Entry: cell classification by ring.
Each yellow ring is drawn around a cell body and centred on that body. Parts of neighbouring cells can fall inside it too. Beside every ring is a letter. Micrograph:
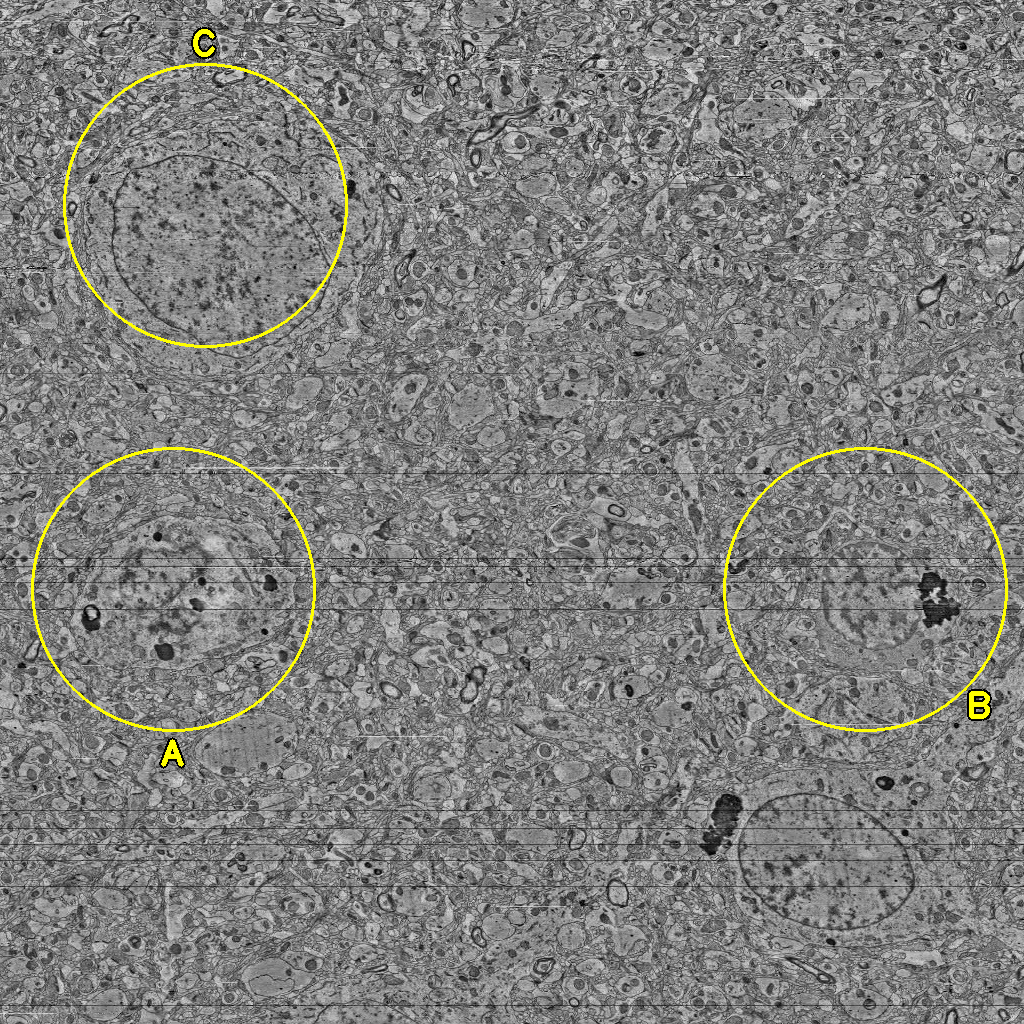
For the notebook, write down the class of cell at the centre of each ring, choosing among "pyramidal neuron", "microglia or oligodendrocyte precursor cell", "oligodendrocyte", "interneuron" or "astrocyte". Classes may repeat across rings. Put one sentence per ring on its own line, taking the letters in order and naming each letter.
Ring A marks an interneuron.
Ring B marks an oligodendrocyte.
Ring C marks a pyramidal neuron.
